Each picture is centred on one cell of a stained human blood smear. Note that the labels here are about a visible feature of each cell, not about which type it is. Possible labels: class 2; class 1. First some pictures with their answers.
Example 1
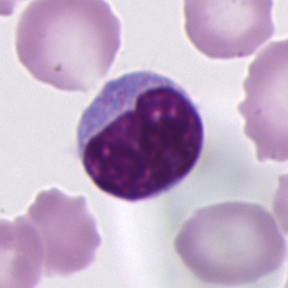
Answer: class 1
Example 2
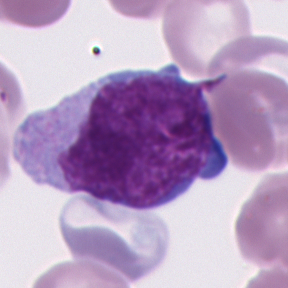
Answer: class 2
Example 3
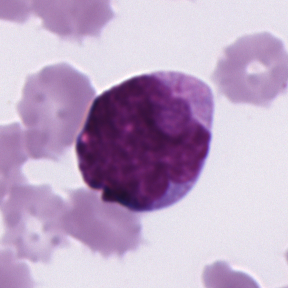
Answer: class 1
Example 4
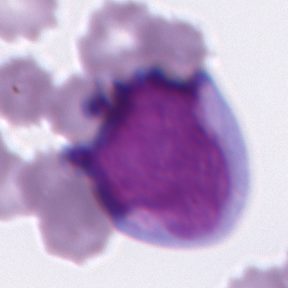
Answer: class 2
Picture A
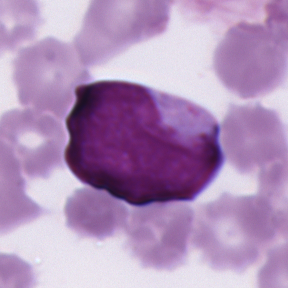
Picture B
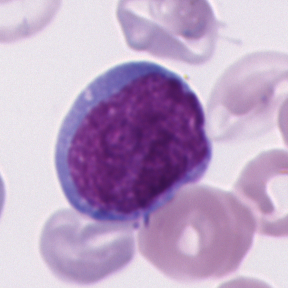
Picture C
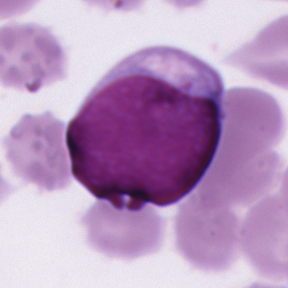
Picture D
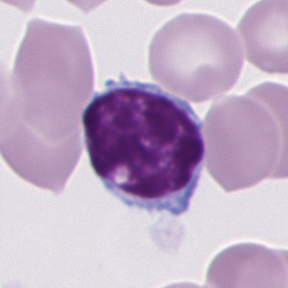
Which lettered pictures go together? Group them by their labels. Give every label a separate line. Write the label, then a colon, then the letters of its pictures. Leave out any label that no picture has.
class 2: A, C, D
class 1: B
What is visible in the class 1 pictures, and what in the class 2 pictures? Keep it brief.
In class 1: smooth outline. In class 2: ragged outline or projections.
